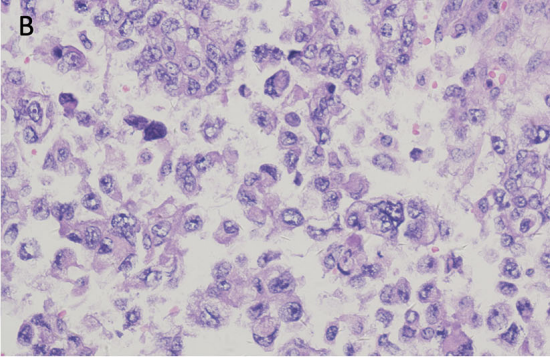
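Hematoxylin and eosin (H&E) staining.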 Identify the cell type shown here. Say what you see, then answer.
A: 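Large oval to polygonal cells with abundant cytoplasm. Cells lie loosely, singly and in small clusters. Nuclei are large and atypical. On this evidence: Epithelioid tumor cells.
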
